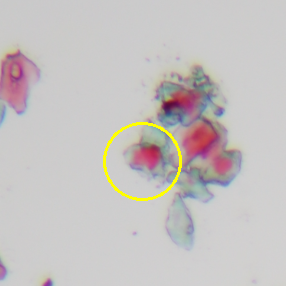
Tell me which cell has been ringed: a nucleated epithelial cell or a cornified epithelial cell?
It is a nucleated epithelial cell.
